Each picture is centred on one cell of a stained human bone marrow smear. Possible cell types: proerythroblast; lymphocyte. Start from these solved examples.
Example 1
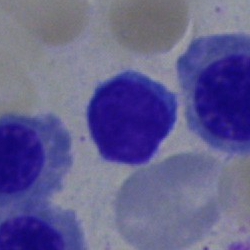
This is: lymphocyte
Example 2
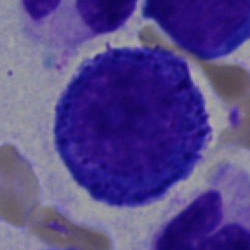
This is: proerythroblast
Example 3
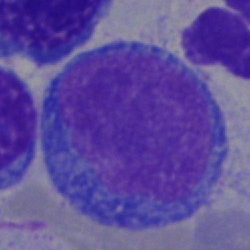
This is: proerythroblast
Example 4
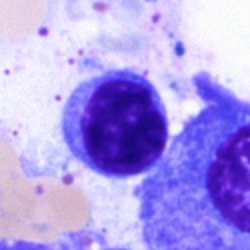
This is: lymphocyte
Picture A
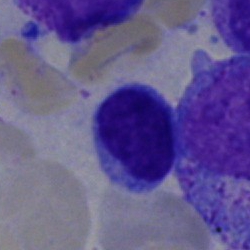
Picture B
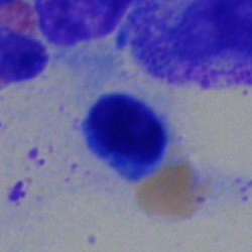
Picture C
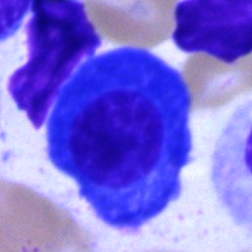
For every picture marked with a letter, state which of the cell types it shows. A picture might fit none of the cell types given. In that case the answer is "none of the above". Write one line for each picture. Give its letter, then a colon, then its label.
A: lymphocyte
B: lymphocyte
C: none of the above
